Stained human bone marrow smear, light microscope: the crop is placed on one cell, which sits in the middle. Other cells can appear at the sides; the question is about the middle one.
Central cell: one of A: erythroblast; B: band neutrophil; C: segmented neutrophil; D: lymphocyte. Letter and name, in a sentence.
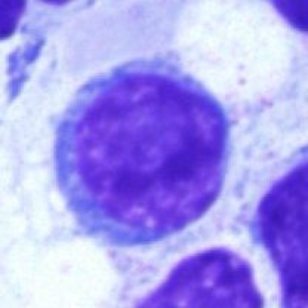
What option D states is correct, the central cell being a lymphocyte.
